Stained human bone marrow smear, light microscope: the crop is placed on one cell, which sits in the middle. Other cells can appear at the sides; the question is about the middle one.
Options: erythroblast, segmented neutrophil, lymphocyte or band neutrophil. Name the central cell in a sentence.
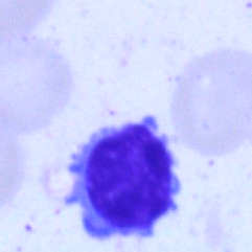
The cell at the middle of the frame should be recorded as a lymphocyte.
